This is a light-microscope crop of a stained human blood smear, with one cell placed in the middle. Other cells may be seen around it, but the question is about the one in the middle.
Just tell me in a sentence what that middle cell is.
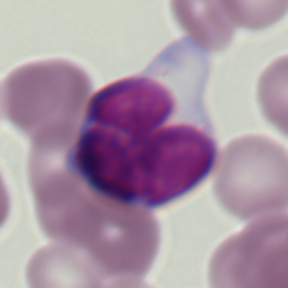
What sits at the centre of this crop is a large granular lymphocyte.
